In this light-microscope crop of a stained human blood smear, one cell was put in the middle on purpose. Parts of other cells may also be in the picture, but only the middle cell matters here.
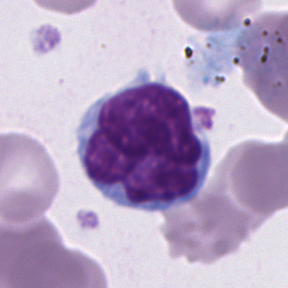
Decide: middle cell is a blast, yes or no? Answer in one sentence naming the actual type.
No, at the centre of this crop is found a lymphocyte instead of a blast.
